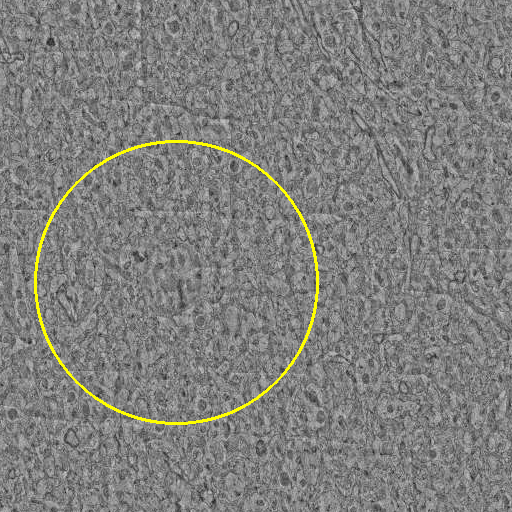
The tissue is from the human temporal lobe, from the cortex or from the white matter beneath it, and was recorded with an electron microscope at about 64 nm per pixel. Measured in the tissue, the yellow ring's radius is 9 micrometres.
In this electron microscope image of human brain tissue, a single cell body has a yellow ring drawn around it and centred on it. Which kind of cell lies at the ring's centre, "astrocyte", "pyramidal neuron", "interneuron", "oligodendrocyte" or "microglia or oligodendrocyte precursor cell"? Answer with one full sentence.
It is an oligodendrocyte whose cell body lies at the centre of the yellow ring here.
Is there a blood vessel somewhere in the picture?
No, none appears.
